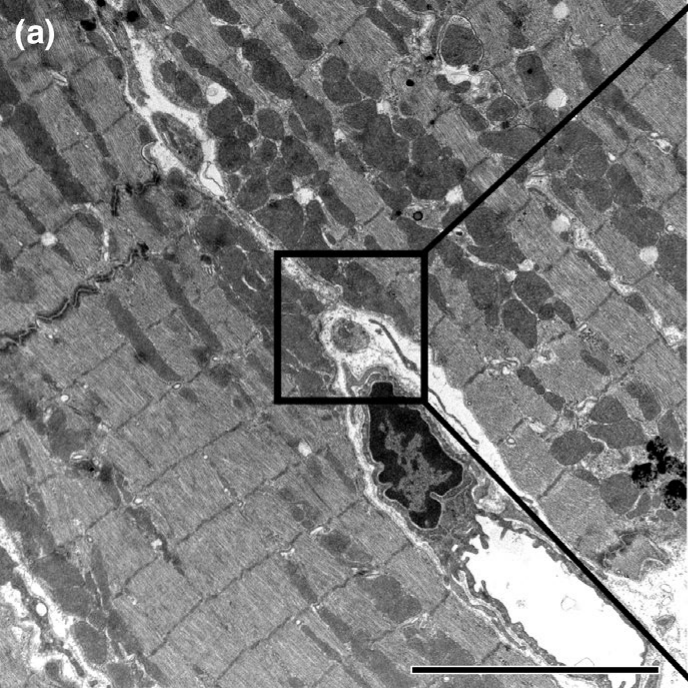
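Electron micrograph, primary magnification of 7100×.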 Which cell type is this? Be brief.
cardiomyocytes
